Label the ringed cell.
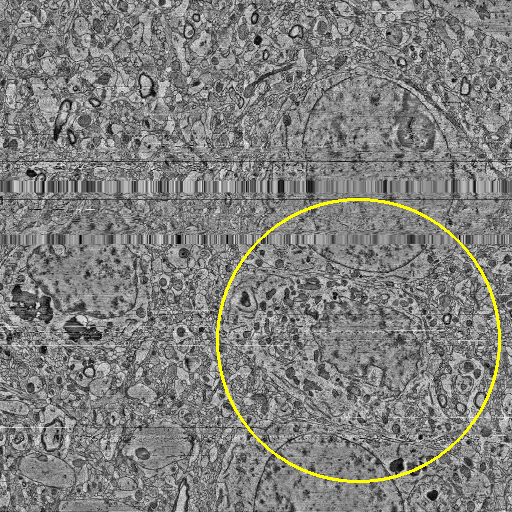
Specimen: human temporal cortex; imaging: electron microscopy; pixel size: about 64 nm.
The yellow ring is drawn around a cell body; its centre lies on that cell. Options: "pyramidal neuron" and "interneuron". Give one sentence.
The ringed cell is an interneuron.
